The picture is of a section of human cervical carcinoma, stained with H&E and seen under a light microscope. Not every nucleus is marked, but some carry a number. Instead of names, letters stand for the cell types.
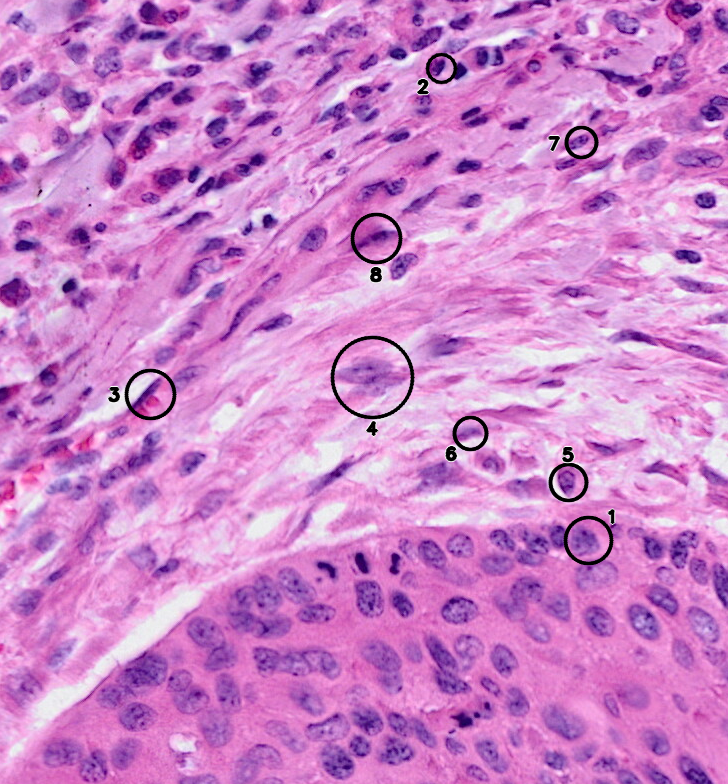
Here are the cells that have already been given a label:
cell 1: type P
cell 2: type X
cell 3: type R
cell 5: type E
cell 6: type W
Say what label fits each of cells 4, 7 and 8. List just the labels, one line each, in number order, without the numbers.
type W
type W
type E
